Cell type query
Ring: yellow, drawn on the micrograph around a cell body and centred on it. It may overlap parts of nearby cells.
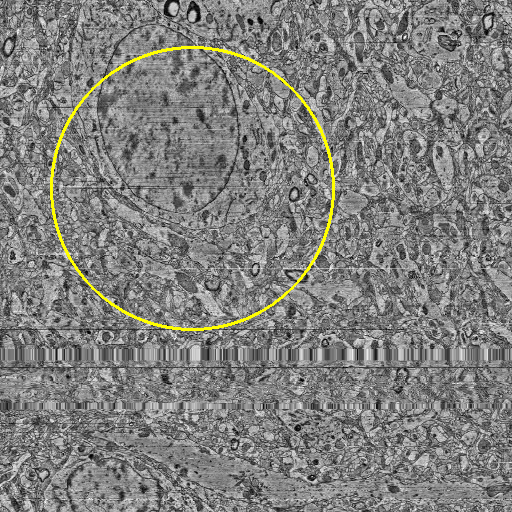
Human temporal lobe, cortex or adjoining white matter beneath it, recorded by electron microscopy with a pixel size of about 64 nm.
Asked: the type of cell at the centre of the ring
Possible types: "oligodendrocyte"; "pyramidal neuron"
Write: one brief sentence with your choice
The ring marks a pyramidal neuron.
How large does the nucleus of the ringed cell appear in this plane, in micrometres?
In this plane the nucleus measures roughly 13 by 9 micrometers.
